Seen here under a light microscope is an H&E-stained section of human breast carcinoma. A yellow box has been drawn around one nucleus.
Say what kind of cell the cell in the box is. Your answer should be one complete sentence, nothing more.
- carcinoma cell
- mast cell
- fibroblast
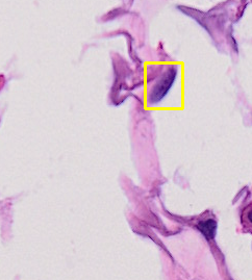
As classified here, the cell in the box is a fibroblast.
